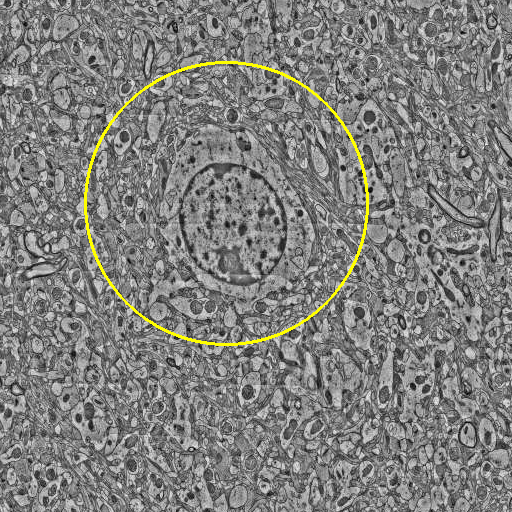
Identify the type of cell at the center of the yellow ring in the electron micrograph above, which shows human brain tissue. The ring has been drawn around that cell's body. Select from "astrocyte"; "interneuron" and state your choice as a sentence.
The yellow ring is centered on the body of an astrocyte.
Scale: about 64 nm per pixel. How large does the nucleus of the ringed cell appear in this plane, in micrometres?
In this plane, the nucleus is roughly 8 by 7 micrometres.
